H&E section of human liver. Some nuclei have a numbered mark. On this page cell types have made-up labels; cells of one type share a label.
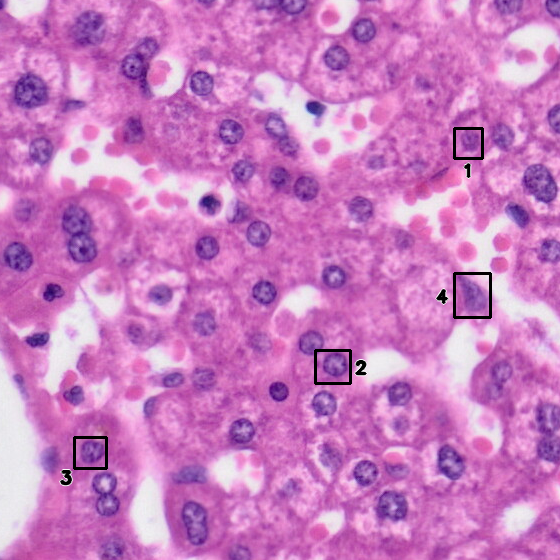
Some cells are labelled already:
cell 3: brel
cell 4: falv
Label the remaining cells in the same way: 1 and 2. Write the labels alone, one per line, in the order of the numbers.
brel
brel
